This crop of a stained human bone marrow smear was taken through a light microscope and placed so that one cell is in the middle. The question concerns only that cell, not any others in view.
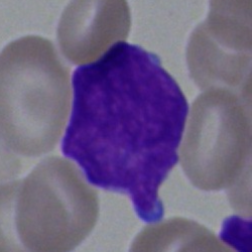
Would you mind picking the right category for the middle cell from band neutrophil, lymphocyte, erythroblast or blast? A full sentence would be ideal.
Positioned in the middle of the crop is a blast.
